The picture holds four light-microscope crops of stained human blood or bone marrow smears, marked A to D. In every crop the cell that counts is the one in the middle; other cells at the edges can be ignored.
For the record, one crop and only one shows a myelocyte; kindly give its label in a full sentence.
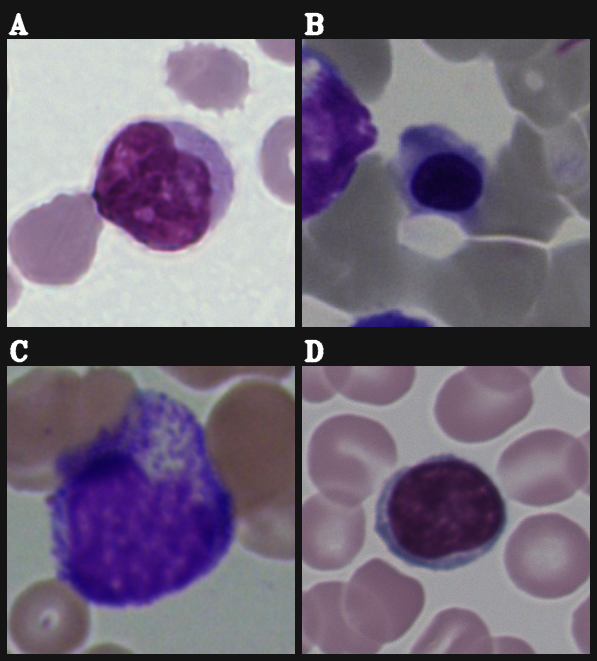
Crop C represents a myelocyte, while the other crops do not.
